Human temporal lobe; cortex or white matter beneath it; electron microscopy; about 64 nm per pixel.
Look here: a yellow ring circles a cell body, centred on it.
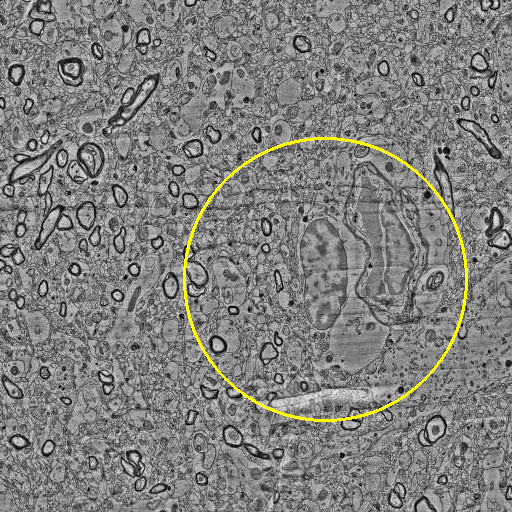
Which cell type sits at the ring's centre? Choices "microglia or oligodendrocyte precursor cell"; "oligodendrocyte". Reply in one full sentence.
The cell at the centre of the yellow ring in the picture is a microglial cell or oligodendrocyte precursor cell.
